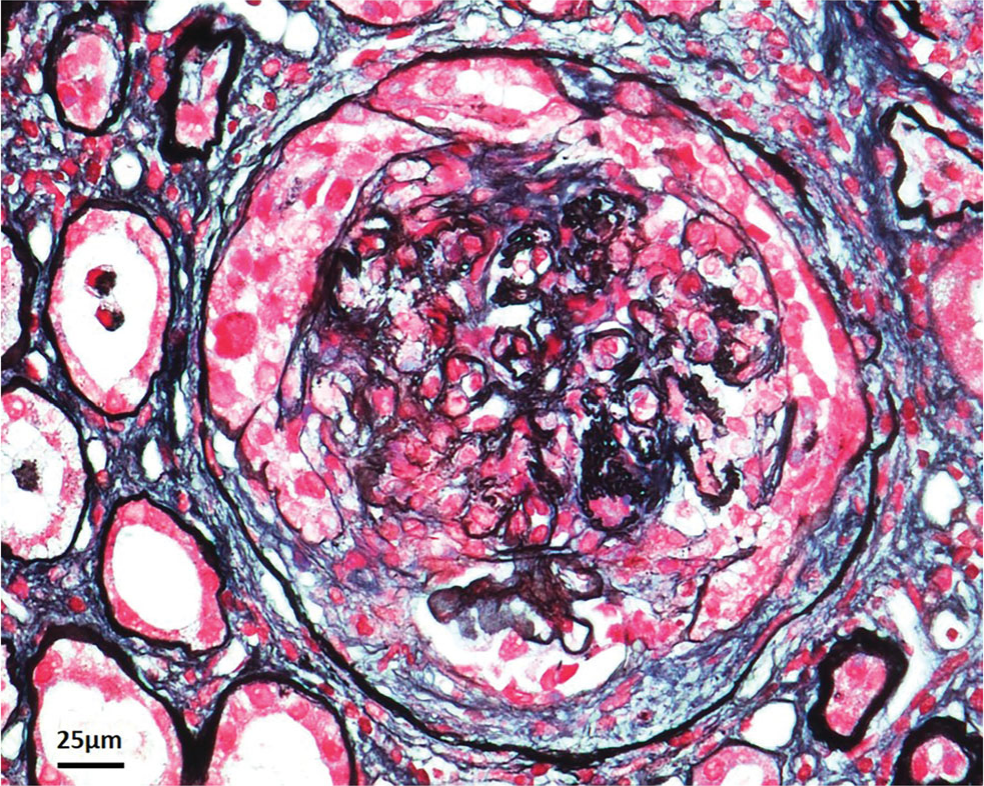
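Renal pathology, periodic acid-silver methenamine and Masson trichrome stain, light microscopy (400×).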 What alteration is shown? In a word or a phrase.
Cellular crescent.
